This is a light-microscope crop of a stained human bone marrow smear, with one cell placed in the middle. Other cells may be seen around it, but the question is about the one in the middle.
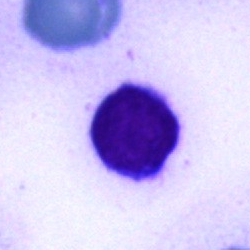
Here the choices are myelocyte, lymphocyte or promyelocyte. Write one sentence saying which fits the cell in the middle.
In the middle of this smear crop is a lymphocyte.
